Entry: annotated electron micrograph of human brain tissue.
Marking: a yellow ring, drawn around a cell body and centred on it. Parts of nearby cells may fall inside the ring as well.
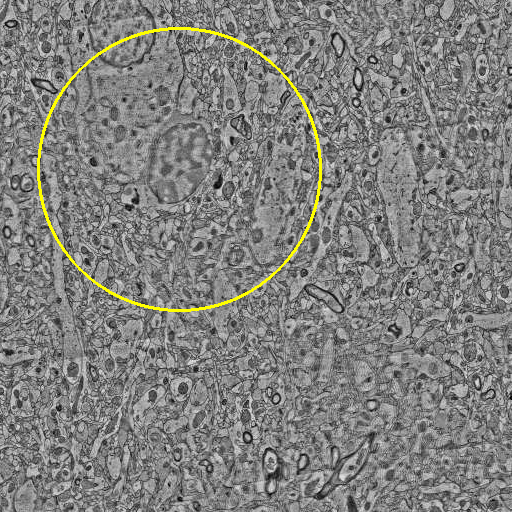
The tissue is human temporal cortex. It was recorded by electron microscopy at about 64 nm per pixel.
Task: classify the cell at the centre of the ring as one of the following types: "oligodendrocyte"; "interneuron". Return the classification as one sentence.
The marked cell is classified as an oligodendrocyte.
